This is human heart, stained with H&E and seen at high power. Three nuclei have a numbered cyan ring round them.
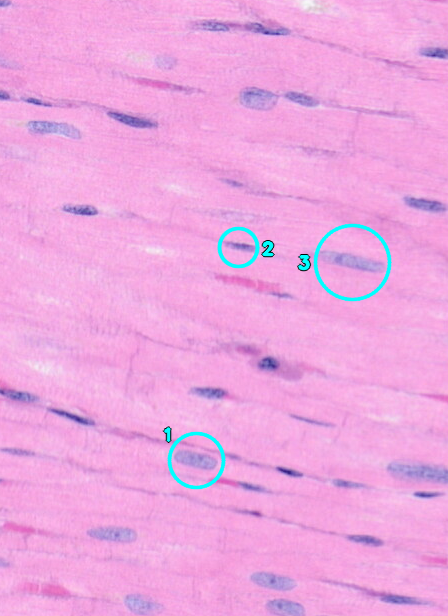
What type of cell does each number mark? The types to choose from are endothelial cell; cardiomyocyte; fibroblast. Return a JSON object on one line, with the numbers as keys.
{"1": "cardiomyocyte", "2": "endothelial cell", "3": "cardiomyocyte"}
